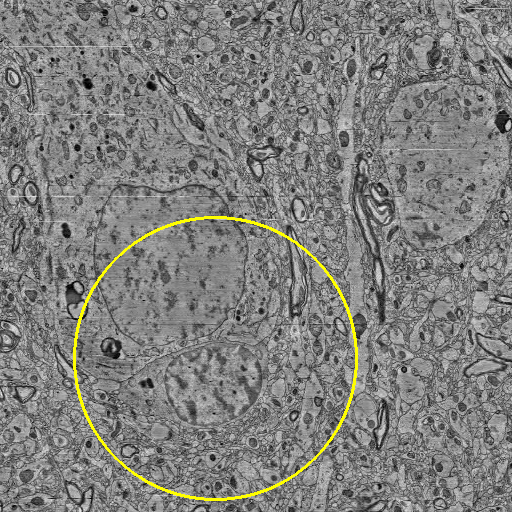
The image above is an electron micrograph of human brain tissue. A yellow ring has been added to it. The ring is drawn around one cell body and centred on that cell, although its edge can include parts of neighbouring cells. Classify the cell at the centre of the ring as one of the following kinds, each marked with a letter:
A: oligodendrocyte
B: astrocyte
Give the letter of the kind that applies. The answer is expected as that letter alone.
A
